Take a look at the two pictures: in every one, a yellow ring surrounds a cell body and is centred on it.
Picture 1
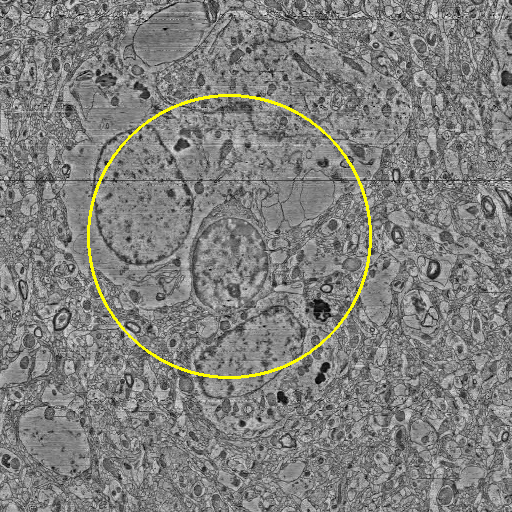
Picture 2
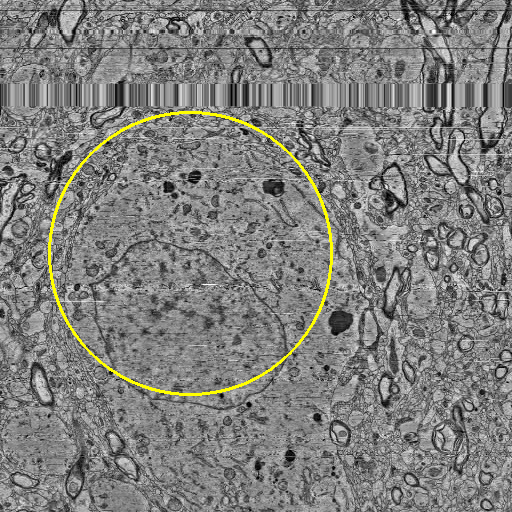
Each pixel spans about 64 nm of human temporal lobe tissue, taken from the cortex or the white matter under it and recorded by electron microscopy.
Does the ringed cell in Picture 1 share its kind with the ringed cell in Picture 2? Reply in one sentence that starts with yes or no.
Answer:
No, the two centred cells, one per picture, are of two kinds.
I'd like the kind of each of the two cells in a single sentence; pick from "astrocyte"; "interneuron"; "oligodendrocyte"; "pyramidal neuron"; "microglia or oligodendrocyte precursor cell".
The first ring marks an oligodendrocyte, and the second ring marks a pyramidal neuron.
